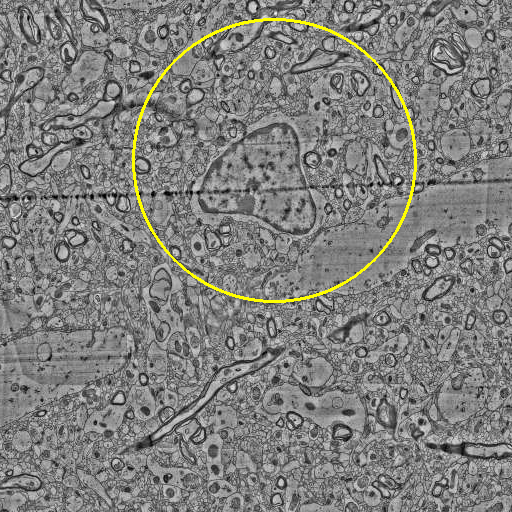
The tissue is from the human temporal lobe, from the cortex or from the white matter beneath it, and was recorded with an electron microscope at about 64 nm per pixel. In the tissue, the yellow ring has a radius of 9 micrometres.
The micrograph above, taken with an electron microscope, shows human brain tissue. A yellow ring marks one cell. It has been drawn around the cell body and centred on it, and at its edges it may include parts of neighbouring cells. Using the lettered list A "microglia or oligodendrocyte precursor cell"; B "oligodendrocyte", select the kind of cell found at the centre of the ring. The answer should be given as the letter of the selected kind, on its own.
A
